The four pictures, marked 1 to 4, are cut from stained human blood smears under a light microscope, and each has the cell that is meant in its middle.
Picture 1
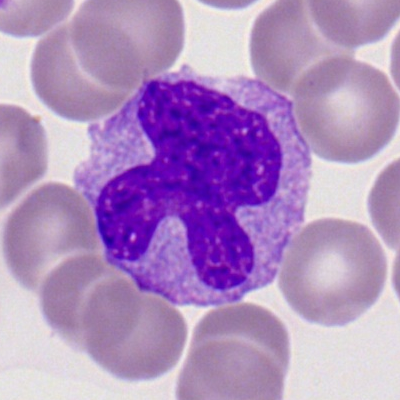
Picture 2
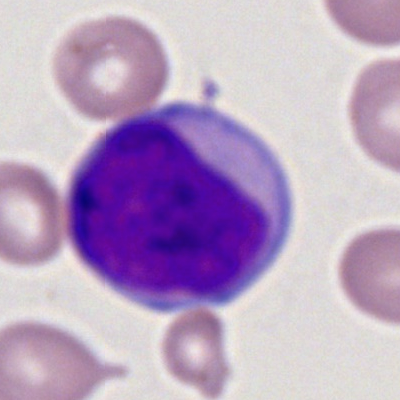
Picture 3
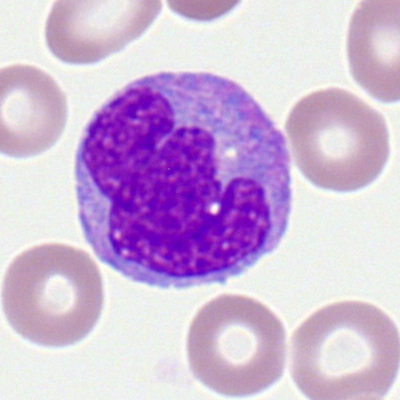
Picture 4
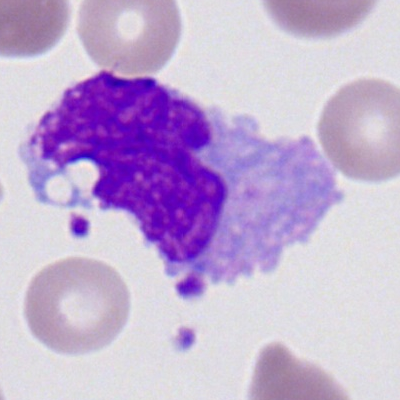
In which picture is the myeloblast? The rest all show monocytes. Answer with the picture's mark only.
2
